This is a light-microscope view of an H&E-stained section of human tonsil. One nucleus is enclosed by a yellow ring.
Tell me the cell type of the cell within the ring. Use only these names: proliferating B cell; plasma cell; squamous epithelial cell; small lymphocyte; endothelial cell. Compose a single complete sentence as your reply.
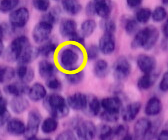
The correct response here is that the cell within the ring is a small lymphocyte.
